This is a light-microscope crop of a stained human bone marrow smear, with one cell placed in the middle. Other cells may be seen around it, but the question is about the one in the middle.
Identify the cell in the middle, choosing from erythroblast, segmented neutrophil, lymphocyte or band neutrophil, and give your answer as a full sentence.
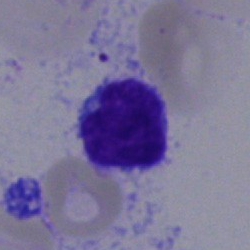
For this crop, the cell in the middle is a lymphocyte.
